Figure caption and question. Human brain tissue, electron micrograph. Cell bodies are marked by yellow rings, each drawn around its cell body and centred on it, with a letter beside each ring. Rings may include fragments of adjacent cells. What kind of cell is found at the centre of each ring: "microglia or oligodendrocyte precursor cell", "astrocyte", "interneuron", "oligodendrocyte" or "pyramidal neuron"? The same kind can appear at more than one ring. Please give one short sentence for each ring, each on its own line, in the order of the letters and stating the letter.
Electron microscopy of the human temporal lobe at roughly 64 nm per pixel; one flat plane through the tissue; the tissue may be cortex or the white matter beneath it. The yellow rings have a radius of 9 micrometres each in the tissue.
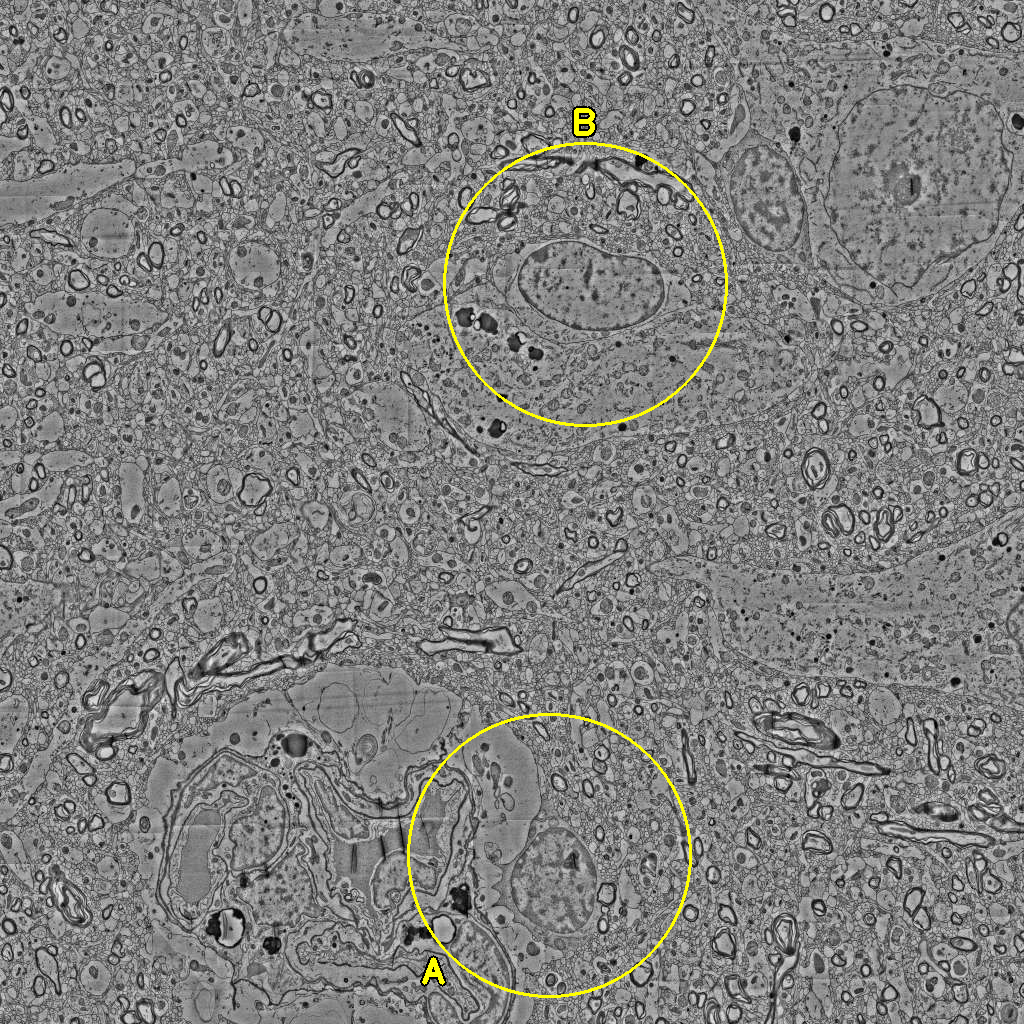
The centre of ring A falls on an oligodendrocyte.
The centre of ring B falls on a microglial cell or oligodendrocyte precursor cell.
